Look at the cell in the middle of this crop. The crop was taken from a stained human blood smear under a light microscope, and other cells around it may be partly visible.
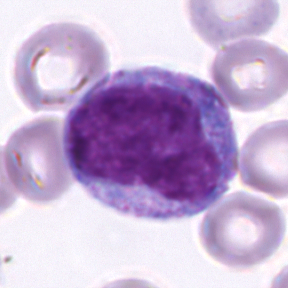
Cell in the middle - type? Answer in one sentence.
To answer, the cell in the center of the crop is a promyelocyte.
